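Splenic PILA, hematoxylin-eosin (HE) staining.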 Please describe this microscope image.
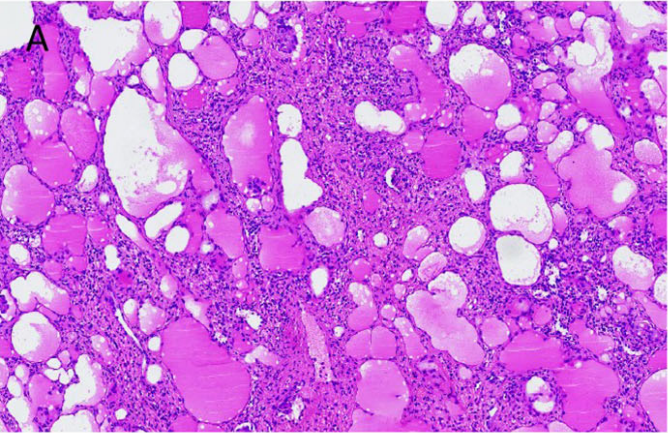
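This is a low-power view of a tumor made up of many crowded vascular spaces. The spaces are round to irregular and vary greatly in size, some merging into larger, lobulated cavities. Most are filled with pale to bright pink, smooth material, and a few contain paler, bubbly areas. Between the spaces lies a cellular stroma with many small dark purple nuclei.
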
